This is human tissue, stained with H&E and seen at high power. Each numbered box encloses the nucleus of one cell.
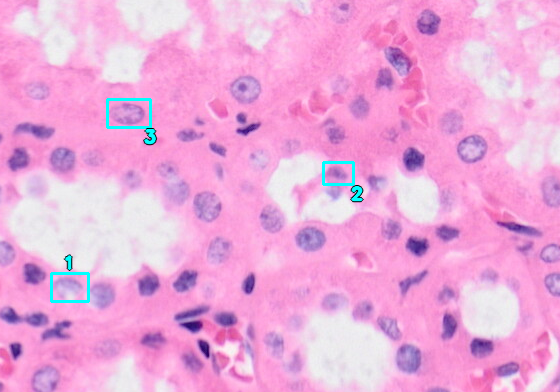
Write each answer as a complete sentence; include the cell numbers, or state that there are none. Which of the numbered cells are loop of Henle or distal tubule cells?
The cells marked 1 and 2 in the section are loop of Henle or distal tubule cells.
